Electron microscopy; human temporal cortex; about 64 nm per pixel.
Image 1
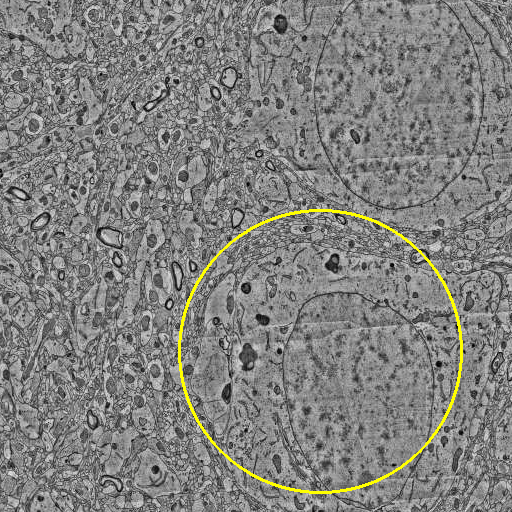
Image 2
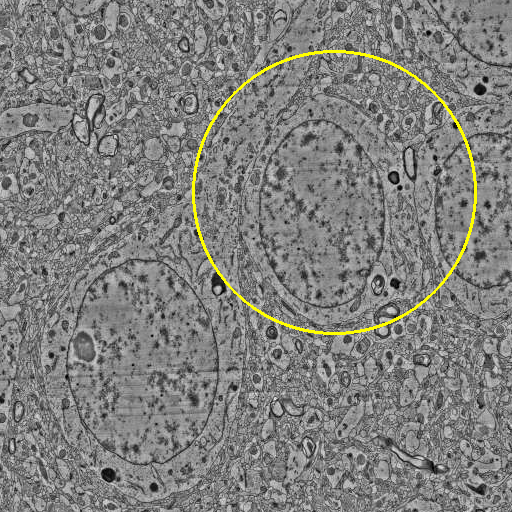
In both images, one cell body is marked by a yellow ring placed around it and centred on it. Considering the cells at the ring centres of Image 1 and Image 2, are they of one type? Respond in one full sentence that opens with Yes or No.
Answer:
Yes, a single type applies to the ring-centred cells of both Image 1 and Image 2.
